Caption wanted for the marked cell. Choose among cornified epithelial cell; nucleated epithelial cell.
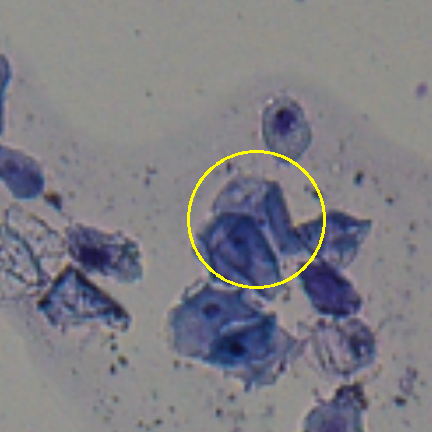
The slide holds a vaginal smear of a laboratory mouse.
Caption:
Ringed in yellow is a cornified epithelial cell.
